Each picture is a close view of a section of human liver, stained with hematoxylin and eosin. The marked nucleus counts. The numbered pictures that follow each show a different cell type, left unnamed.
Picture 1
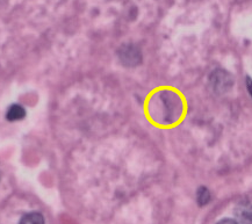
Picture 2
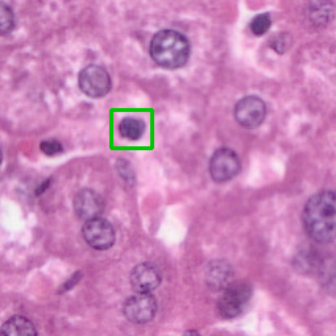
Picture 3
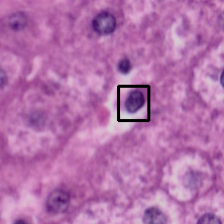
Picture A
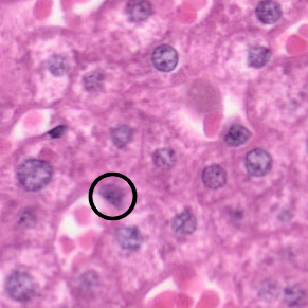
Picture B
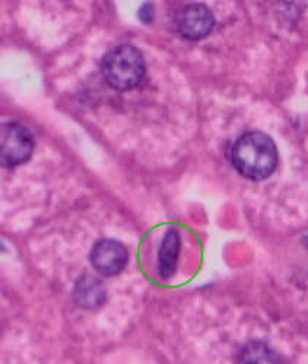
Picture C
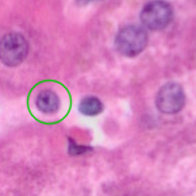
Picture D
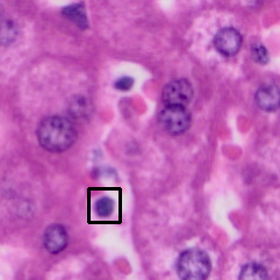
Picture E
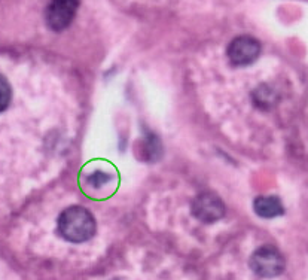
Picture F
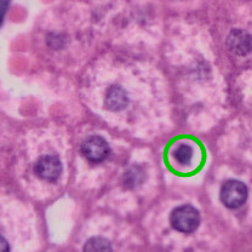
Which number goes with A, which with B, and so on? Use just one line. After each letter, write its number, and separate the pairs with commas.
A 1, B 3, C 2, D 2, E 2, F 2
